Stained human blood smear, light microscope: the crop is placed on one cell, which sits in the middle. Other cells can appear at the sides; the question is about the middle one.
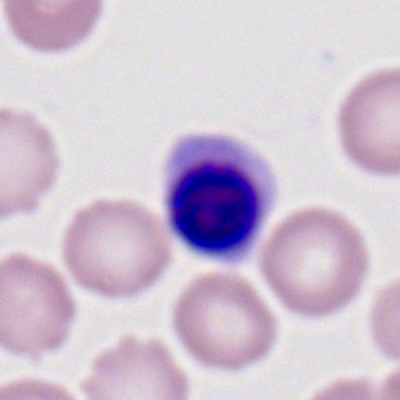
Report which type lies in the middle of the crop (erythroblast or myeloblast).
erythroblast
